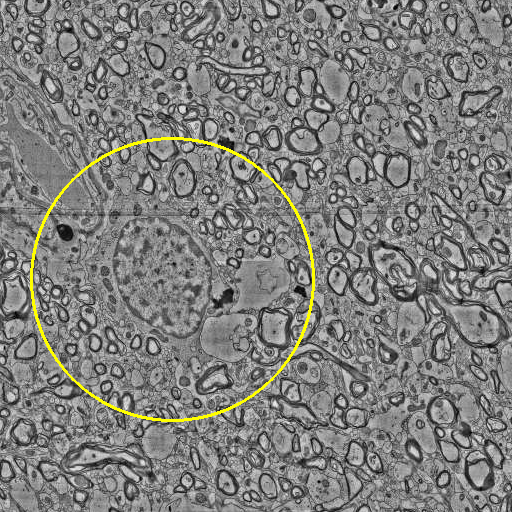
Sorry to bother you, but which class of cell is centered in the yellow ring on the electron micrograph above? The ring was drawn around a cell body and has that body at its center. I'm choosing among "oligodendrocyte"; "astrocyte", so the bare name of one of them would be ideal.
oligodendrocyte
